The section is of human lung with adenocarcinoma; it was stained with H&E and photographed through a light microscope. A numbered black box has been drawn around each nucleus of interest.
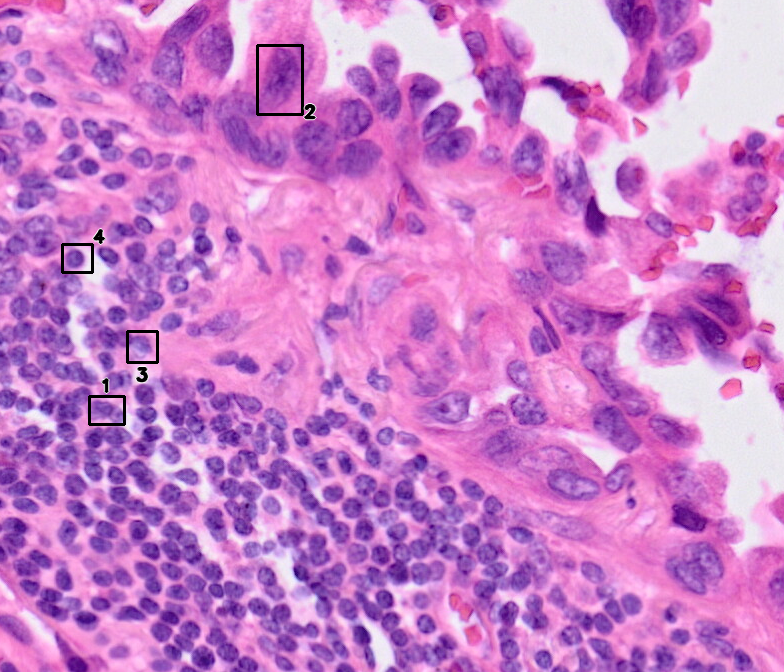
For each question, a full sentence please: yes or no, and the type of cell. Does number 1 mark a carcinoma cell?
No, instead of a carcinoma cell, the cell with number 1 is a lymphocyte.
